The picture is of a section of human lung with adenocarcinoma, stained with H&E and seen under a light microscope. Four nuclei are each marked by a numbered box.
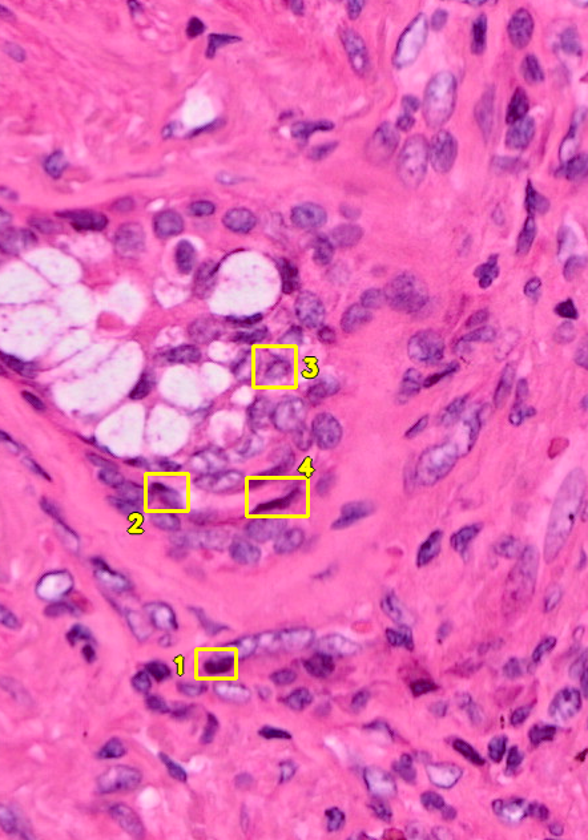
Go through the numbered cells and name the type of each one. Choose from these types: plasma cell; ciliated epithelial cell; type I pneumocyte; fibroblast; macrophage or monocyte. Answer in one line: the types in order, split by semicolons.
plasma cell; ciliated epithelial cell; ciliated epithelial cell; ciliated epithelial cell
